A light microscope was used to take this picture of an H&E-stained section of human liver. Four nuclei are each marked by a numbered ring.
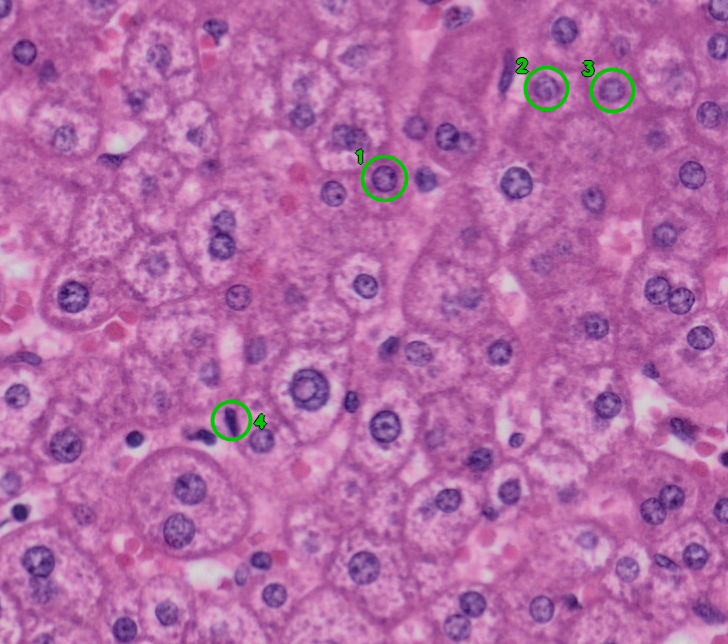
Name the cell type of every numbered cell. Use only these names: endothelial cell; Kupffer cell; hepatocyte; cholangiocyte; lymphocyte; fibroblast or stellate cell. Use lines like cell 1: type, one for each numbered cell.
cell 1: hepatocyte
cell 2: hepatocyte
cell 3: hepatocyte
cell 4: fibroblast or stellate cell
